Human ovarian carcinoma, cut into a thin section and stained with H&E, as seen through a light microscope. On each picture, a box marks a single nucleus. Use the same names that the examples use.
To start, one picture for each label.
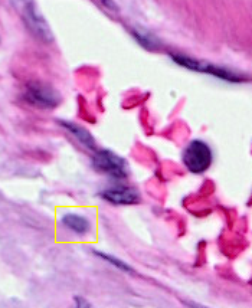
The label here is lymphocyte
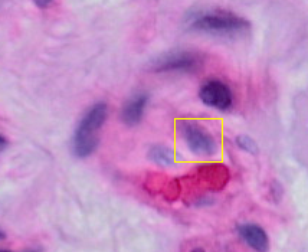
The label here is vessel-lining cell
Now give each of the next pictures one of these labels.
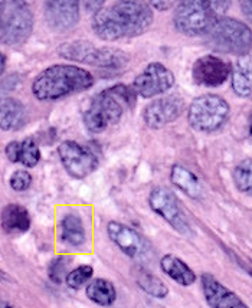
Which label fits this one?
lymphocyte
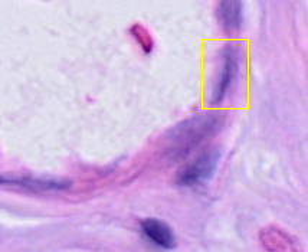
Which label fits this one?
vessel-lining cell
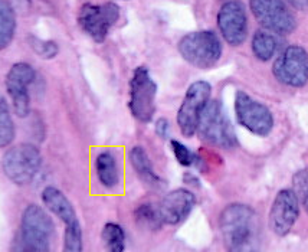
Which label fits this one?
lymphocyte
